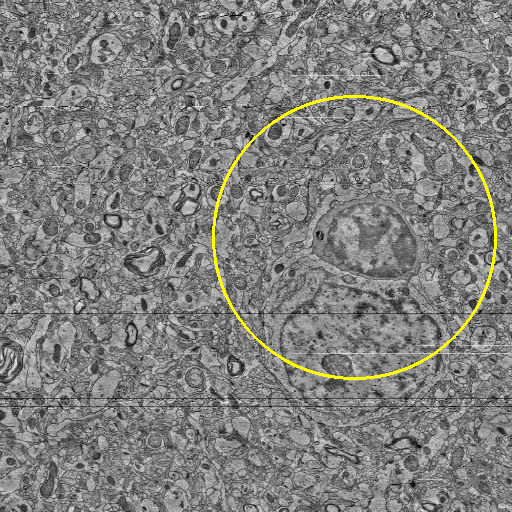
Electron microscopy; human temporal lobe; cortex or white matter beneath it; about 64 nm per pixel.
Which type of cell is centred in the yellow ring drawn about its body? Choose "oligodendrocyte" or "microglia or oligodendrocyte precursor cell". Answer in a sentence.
The yellow ring surrounds the cell body of an oligodendrocyte.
